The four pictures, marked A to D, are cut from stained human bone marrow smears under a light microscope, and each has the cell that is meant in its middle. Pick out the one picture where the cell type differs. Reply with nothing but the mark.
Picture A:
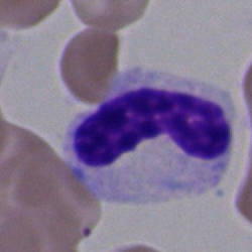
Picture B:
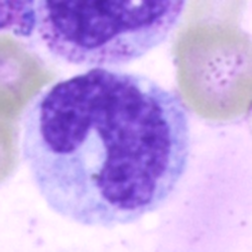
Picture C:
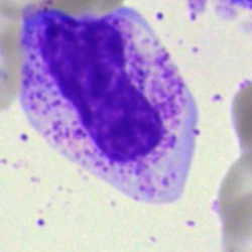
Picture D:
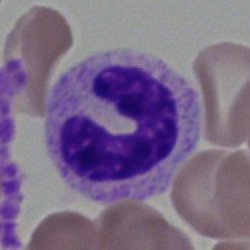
C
